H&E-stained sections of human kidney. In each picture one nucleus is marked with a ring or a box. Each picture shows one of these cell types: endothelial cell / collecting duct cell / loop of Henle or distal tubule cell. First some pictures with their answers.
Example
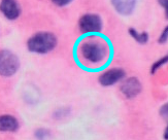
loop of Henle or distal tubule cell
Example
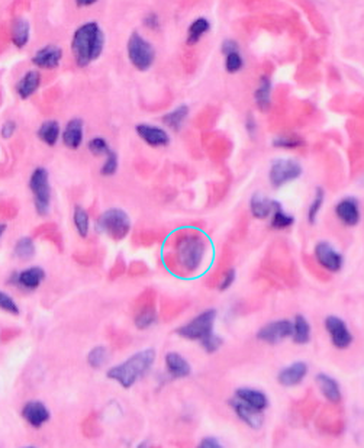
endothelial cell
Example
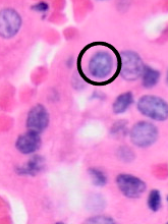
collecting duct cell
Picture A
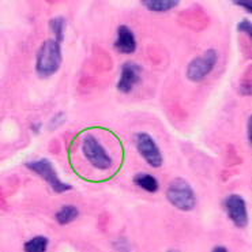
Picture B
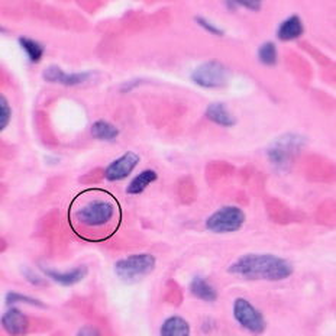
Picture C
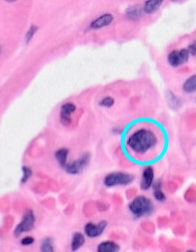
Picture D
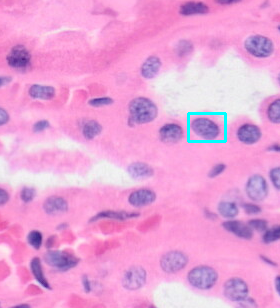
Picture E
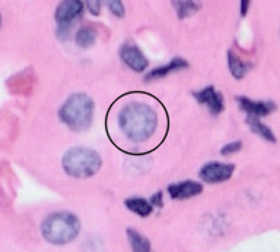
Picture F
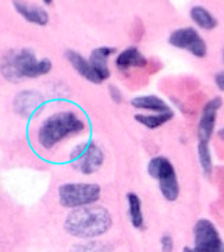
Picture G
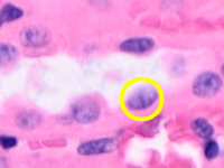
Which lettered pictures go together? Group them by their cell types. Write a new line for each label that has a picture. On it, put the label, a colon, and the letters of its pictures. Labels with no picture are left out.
endothelial cell: A, B, C
collecting duct cell: F
loop of Henle or distal tubule cell: D, E, G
